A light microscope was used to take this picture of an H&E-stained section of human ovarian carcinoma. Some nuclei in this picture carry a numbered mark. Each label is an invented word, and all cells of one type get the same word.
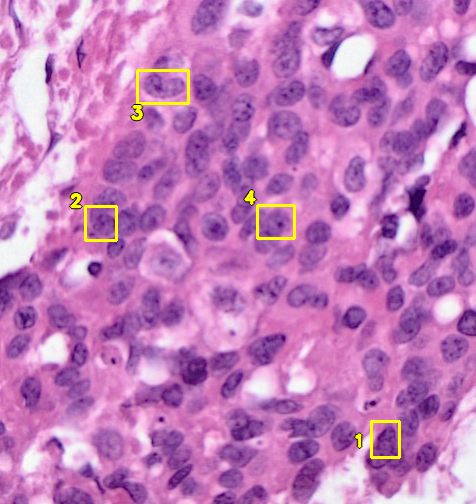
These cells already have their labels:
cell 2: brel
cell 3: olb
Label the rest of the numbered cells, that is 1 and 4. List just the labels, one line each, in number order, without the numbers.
brel
brel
